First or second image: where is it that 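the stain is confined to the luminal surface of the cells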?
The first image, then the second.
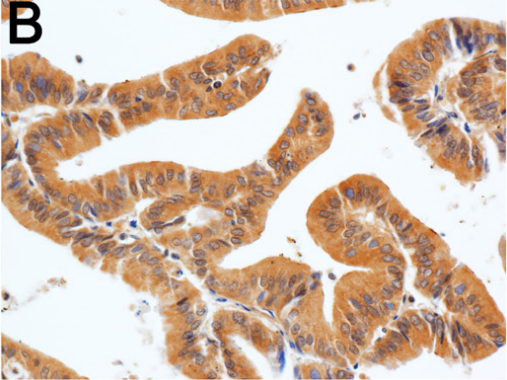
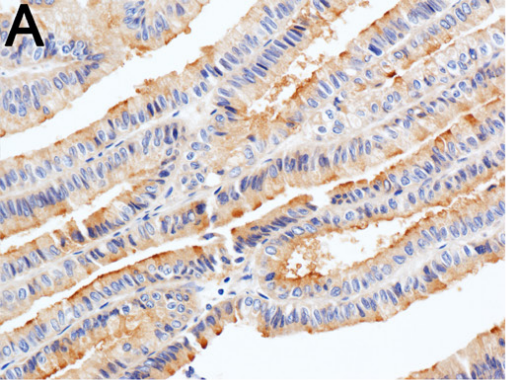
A: The second image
